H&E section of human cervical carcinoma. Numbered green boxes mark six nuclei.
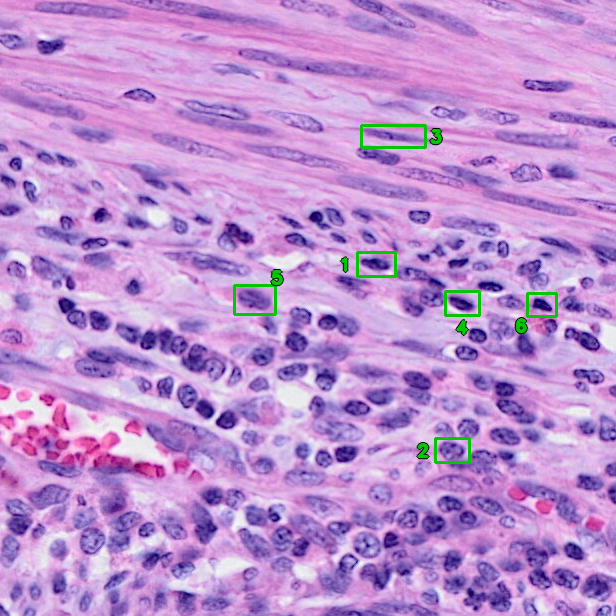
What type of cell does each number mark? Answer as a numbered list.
1. lymphocyte
2. lymphocyte
3. smooth muscle cell
4. lymphocyte
5. macrophage or monocyte
6. lymphocyte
